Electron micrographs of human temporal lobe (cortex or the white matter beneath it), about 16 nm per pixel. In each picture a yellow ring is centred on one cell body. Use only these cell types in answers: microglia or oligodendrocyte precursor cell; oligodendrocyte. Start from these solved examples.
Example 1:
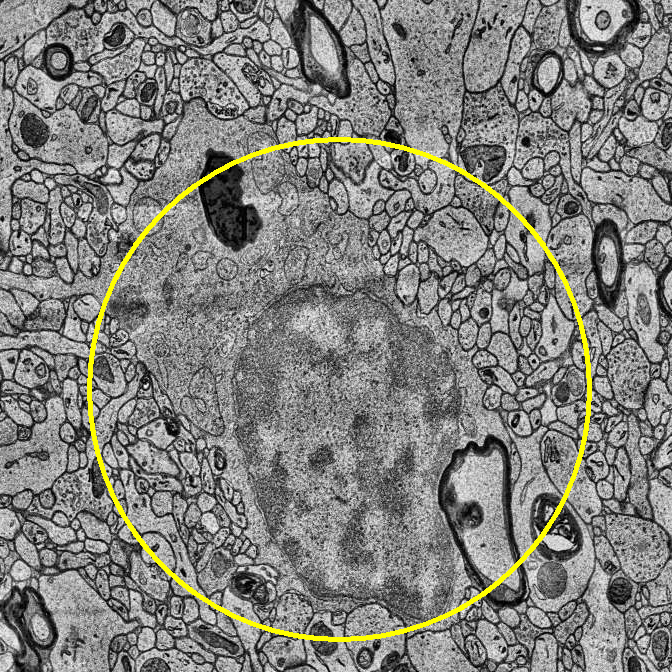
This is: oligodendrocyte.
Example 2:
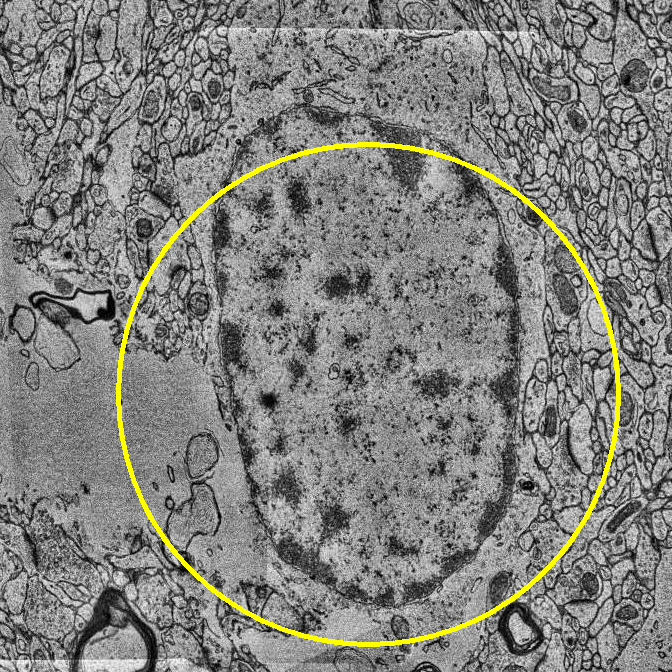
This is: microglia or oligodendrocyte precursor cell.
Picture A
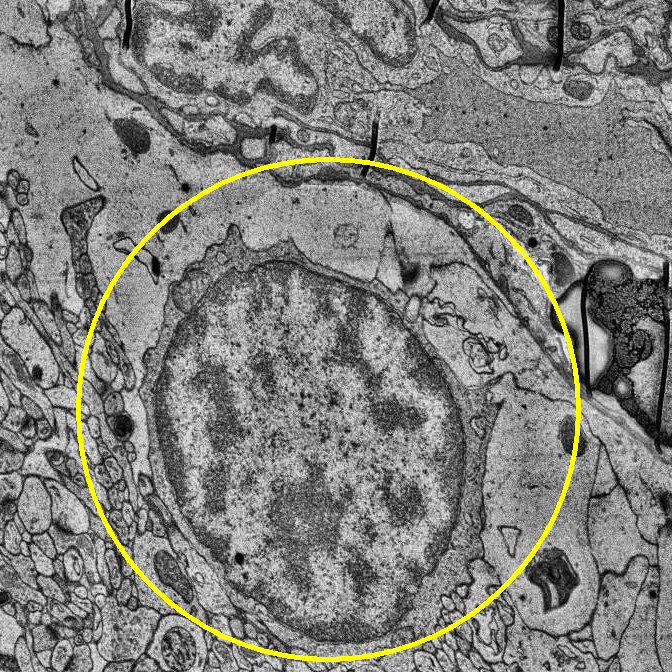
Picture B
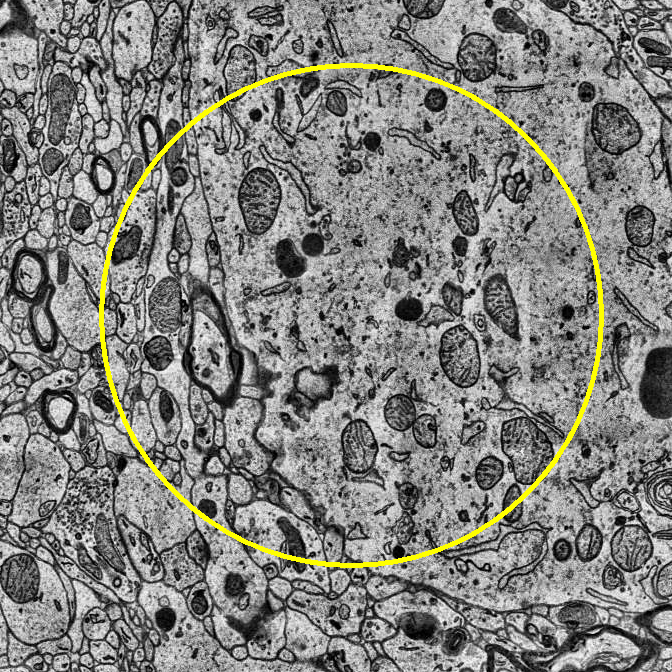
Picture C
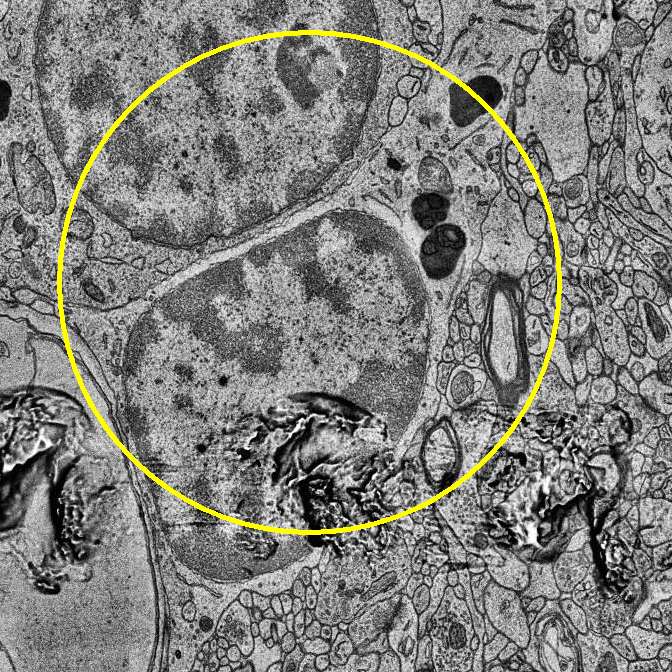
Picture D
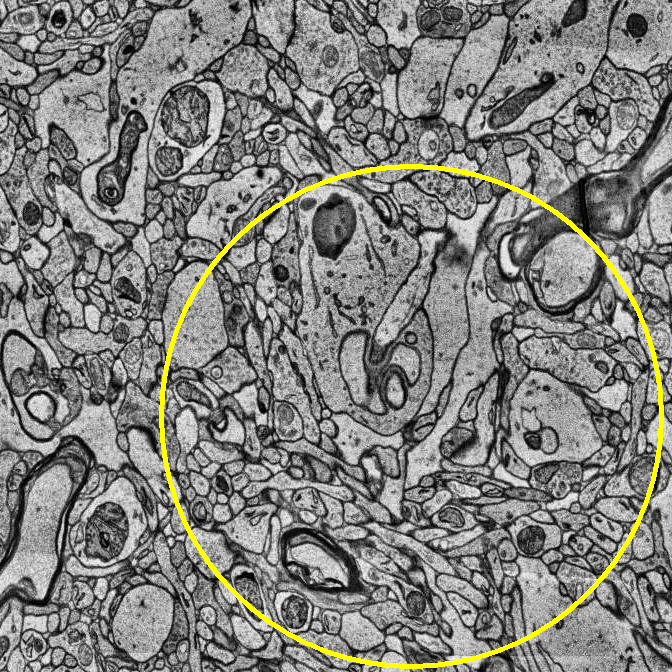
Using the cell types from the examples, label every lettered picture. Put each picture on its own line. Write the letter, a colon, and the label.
A: oligodendrocyte.
B: microglia or oligodendrocyte precursor cell.
C: microglia or oligodendrocyte precursor cell.
D: microglia or oligodendrocyte precursor cell.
